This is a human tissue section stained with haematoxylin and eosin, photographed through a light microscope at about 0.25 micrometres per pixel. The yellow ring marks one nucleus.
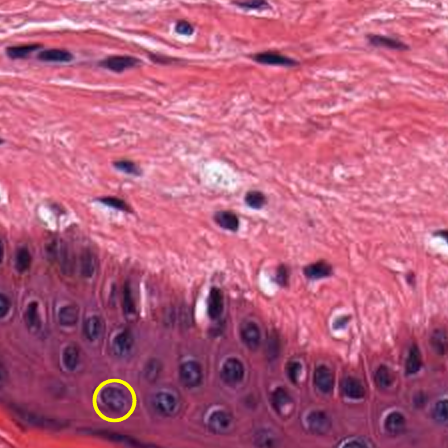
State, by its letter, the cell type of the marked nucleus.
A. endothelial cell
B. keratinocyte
B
